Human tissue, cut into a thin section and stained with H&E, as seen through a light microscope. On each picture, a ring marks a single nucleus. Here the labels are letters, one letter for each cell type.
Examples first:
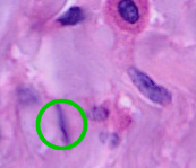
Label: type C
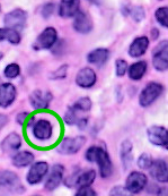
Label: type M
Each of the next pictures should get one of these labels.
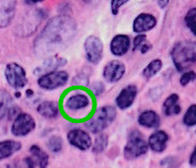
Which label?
type M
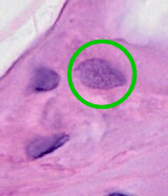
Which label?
type C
